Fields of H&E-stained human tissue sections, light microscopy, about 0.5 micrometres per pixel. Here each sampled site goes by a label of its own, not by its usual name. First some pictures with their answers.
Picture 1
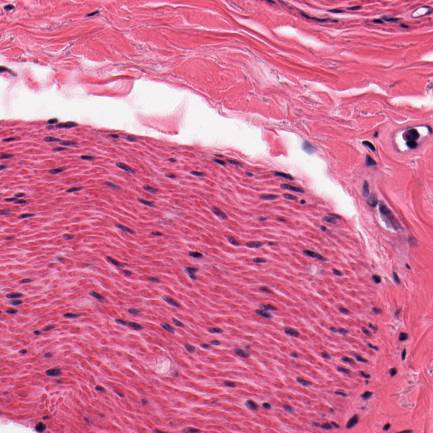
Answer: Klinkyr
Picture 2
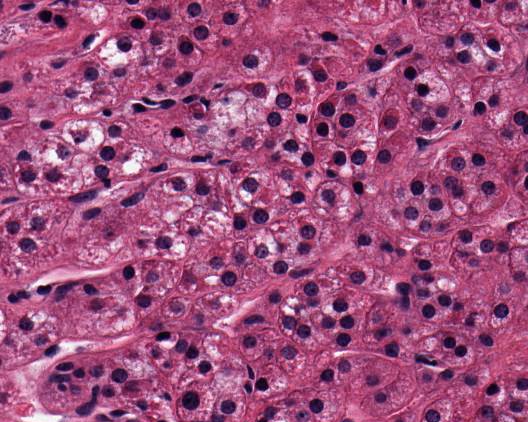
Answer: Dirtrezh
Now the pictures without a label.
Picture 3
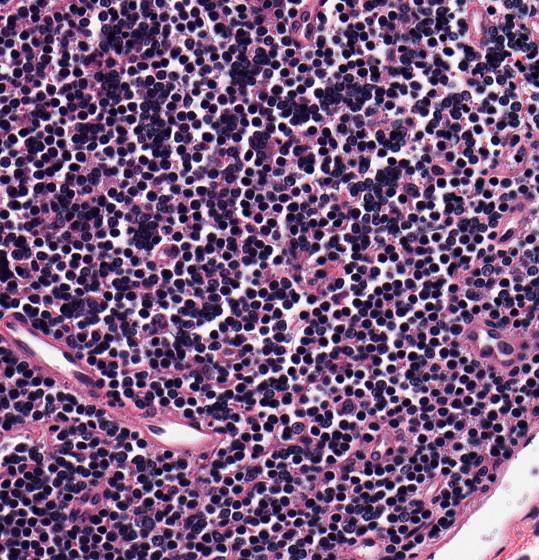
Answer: Klinkyr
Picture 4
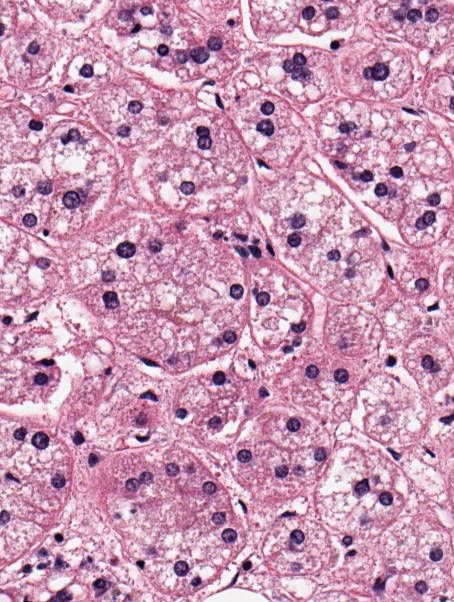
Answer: Dirtrezh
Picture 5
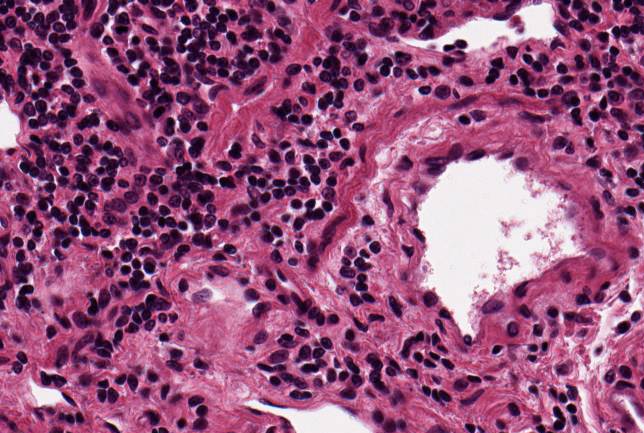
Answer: Klinkyr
